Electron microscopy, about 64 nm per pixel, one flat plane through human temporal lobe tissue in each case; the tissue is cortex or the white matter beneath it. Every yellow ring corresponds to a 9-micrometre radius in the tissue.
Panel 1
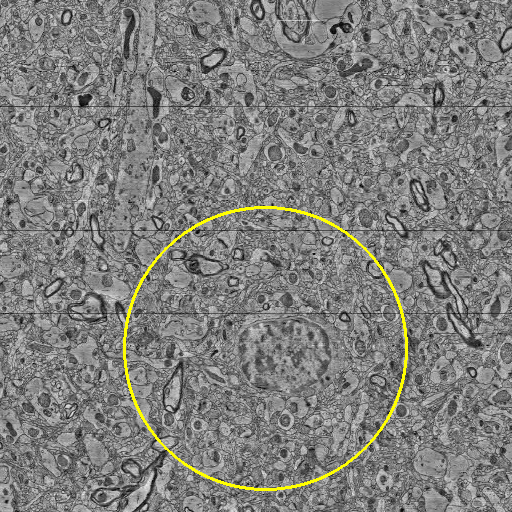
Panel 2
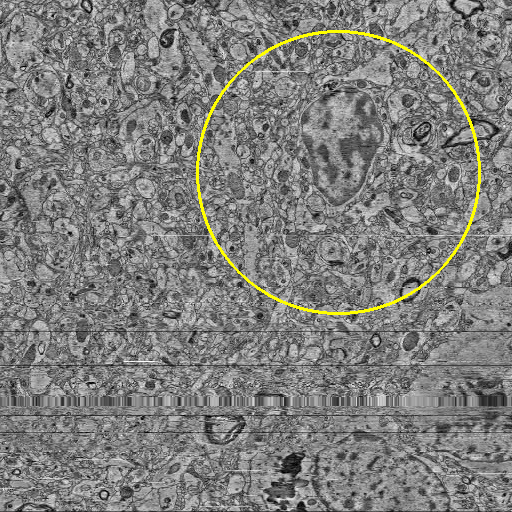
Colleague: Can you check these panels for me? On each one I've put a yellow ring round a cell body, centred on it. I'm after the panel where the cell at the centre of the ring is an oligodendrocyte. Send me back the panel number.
1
